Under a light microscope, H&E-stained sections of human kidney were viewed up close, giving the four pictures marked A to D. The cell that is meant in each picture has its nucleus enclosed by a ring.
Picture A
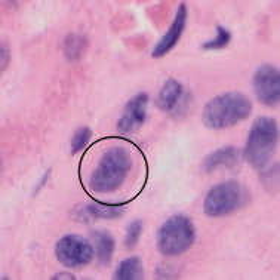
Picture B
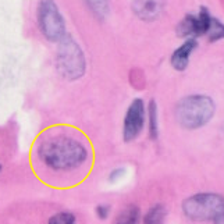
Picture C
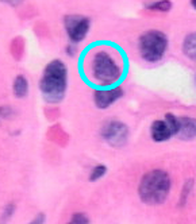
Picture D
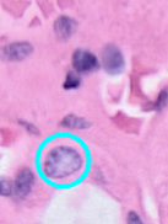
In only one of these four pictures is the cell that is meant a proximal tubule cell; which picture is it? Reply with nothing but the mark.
B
